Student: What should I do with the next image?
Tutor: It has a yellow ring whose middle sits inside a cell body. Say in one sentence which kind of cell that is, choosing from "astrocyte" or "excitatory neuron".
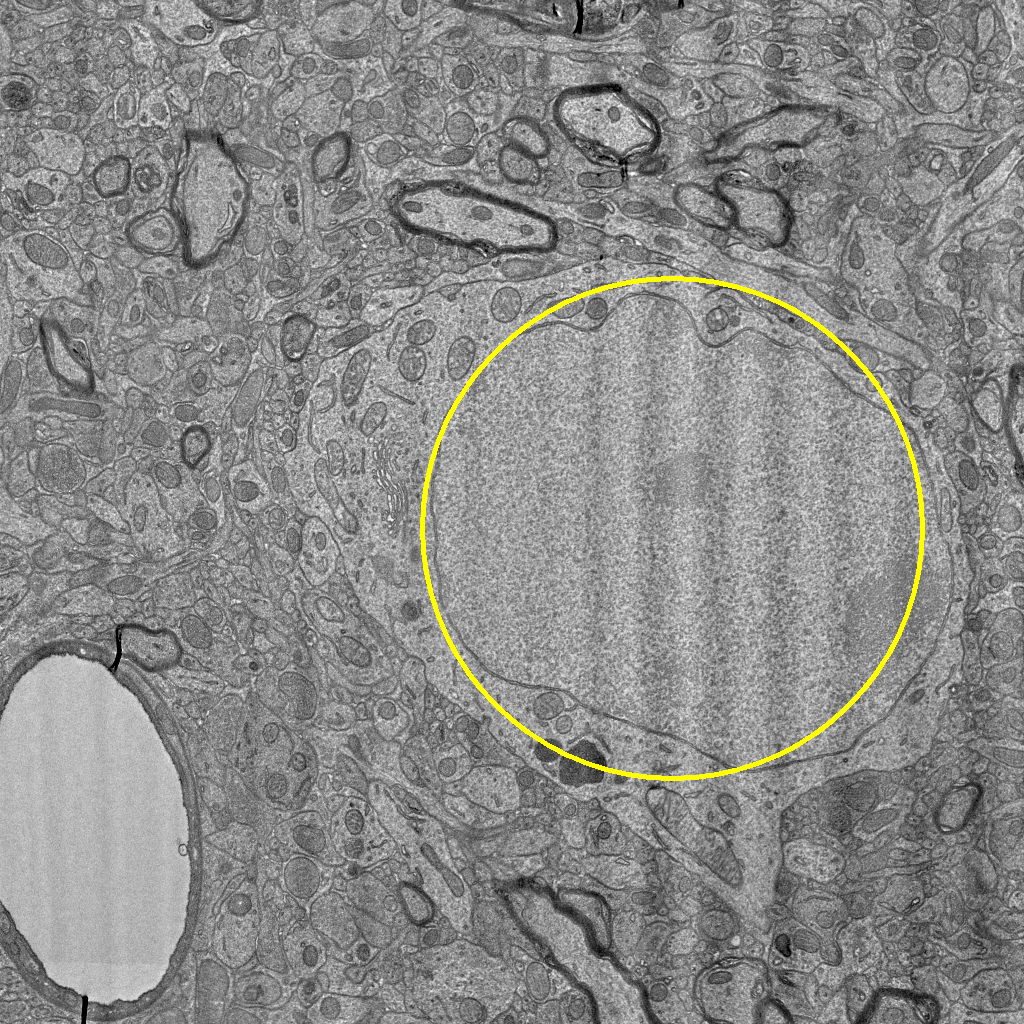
The ring's centre is occupied by an excitatory neuron.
